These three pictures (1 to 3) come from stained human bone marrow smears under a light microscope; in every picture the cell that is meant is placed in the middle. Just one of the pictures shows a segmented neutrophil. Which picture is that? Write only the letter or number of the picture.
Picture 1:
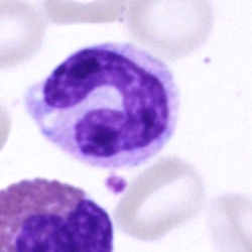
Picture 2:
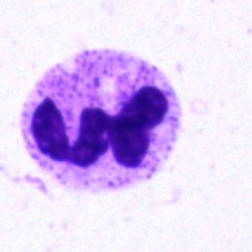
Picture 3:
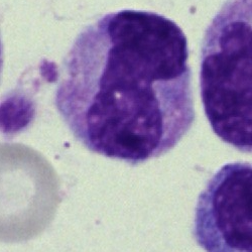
2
